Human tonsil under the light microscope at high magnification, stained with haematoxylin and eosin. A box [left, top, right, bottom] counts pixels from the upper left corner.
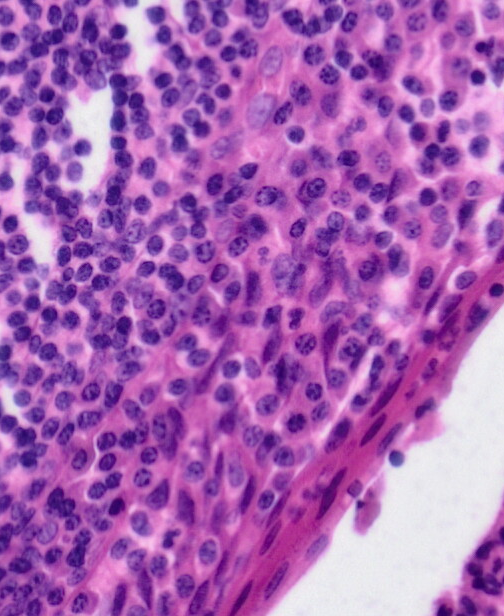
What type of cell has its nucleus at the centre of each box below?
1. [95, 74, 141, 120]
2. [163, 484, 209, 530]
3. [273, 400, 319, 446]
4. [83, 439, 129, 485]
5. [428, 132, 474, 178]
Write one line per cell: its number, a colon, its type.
1: small lymphocyte
2: squamous epithelial cell
3: plasma cell
4: plasma cell
5: plasma cell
